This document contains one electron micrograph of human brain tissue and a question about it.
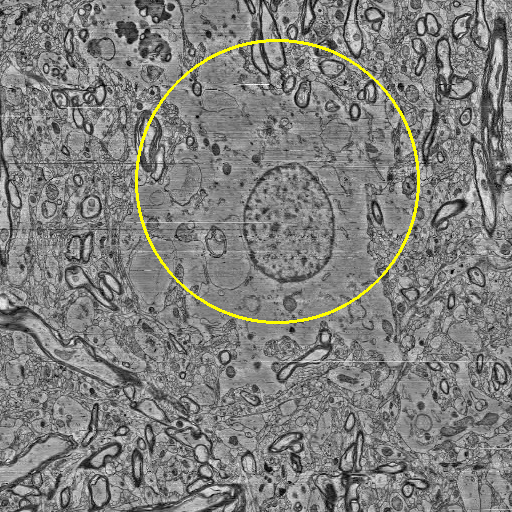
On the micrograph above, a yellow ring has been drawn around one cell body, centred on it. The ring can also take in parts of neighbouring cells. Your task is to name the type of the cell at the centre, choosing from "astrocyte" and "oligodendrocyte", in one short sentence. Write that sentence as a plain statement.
Here the ring is centred on an astrocyte.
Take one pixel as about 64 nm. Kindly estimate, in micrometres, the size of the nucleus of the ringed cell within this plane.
In this plane, about 9 micrometres in length and 6 in width.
